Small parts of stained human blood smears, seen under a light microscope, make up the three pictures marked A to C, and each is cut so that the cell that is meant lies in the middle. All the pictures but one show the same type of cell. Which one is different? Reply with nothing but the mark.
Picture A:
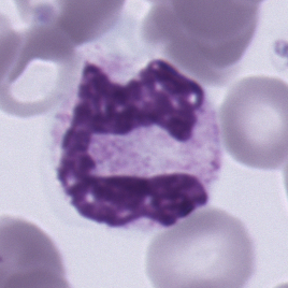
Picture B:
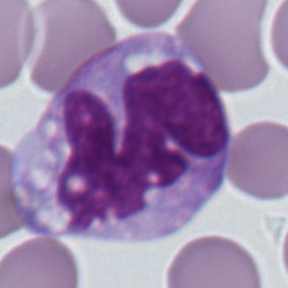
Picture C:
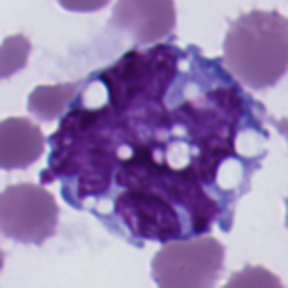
A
